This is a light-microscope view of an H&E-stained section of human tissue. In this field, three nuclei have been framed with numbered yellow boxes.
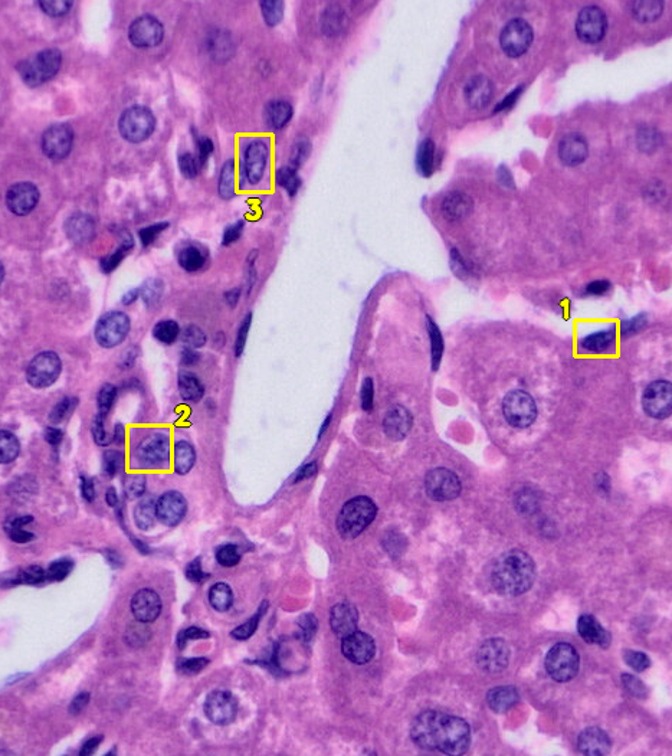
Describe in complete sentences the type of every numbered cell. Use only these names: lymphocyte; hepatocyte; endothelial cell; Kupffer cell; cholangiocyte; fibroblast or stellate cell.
Cell 1 is a fibroblast or stellate cell. Cells 2 and 3 are cholangiocytes.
